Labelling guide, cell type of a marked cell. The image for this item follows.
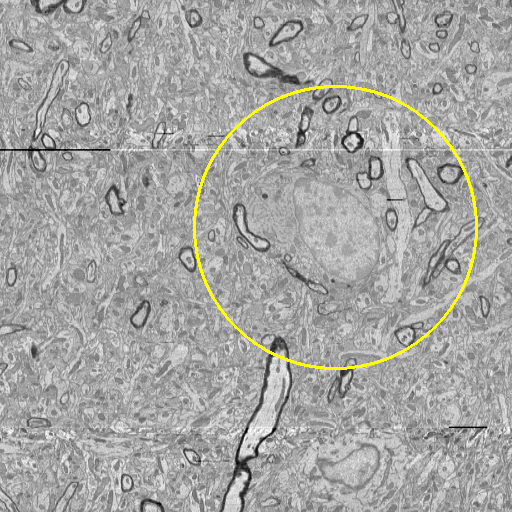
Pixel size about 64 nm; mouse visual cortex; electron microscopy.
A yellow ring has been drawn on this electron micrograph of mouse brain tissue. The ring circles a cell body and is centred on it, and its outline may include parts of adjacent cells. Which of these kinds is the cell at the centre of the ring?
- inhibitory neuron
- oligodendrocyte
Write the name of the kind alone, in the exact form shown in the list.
oligodendrocyte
